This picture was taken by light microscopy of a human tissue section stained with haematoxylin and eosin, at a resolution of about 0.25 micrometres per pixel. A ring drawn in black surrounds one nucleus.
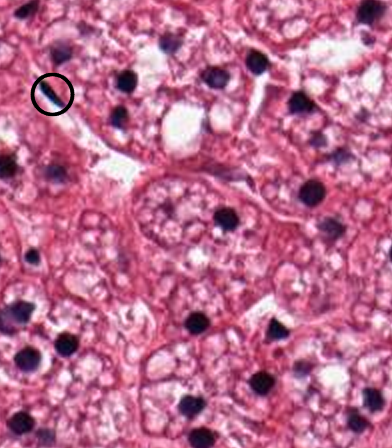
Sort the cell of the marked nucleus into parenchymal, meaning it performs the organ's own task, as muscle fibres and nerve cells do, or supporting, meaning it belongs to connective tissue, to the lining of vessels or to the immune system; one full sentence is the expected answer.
The marked nucleus sits within a supporting cell.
